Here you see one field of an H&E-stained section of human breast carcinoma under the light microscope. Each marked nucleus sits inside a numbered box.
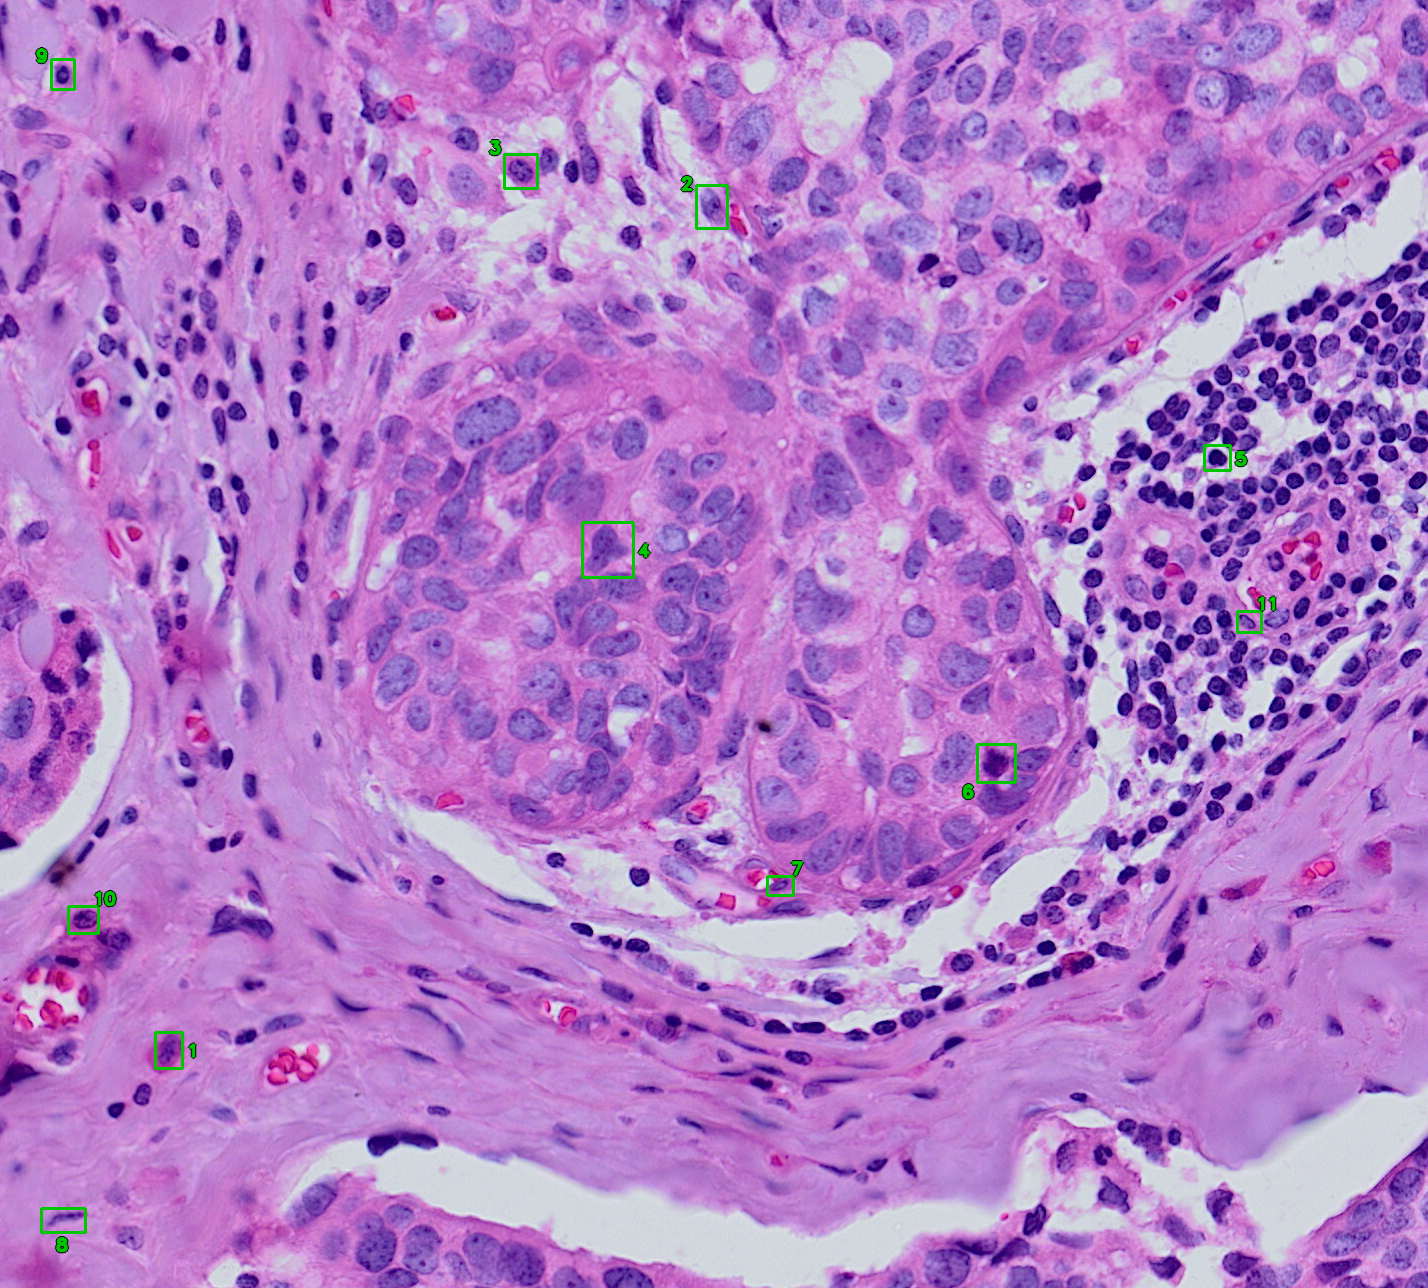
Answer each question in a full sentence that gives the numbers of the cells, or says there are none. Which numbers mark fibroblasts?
Among the marked cells, a fibroblast is found only at number 8.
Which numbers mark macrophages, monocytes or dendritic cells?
With respect to the numbered cells, none are macrophages, monocytes or dendritic cells.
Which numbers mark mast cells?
Identified as mast cells are the cells numbered 1, 3, 9 and 10.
